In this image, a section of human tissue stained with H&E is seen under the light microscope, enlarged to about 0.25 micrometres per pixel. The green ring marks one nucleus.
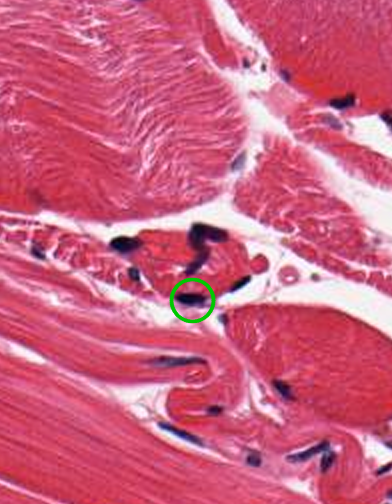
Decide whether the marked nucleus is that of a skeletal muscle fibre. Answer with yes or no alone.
yes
